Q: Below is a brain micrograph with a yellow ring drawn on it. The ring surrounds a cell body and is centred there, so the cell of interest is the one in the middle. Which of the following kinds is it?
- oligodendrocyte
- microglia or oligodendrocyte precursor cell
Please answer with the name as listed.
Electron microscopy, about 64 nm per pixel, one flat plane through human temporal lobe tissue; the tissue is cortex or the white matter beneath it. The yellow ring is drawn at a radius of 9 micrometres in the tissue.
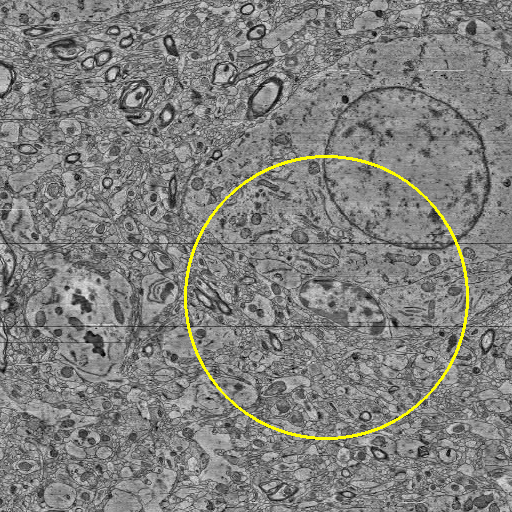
microglia or oligodendrocyte precursor cell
